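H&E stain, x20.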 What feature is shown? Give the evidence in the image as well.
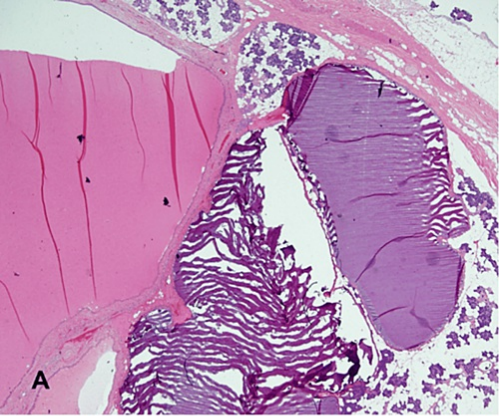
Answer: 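Basophilic to amphophilic secretions. Large spaces are filled with homogeneous material, one pink and one purple. The purple material is cracked and folded into ribbons. Small purple glandular lobules lie around the spaces.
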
